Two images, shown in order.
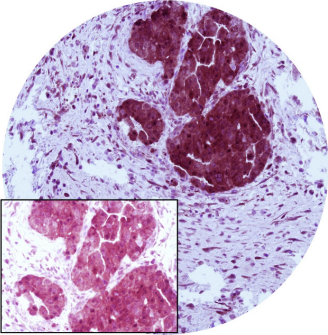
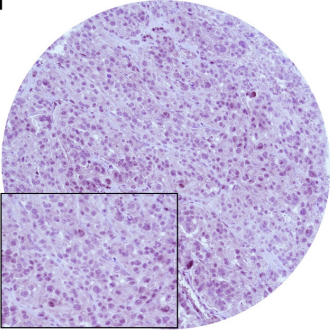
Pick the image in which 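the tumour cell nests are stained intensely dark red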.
the first image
